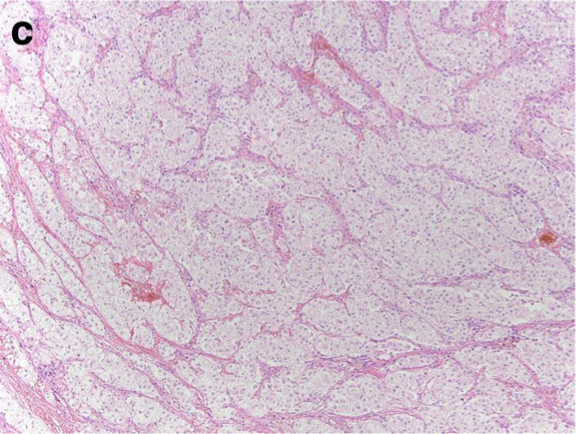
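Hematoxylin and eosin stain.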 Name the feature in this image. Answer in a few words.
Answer: solid nests or alveolar pattern with sinusoidal vasculatures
